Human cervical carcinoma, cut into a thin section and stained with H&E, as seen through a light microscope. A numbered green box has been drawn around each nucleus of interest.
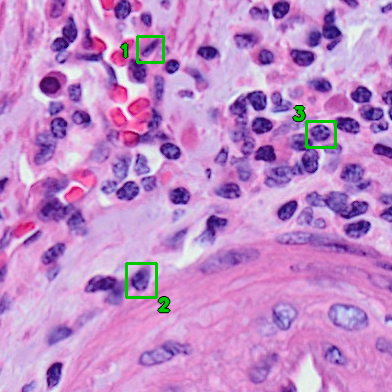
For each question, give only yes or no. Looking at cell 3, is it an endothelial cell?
no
